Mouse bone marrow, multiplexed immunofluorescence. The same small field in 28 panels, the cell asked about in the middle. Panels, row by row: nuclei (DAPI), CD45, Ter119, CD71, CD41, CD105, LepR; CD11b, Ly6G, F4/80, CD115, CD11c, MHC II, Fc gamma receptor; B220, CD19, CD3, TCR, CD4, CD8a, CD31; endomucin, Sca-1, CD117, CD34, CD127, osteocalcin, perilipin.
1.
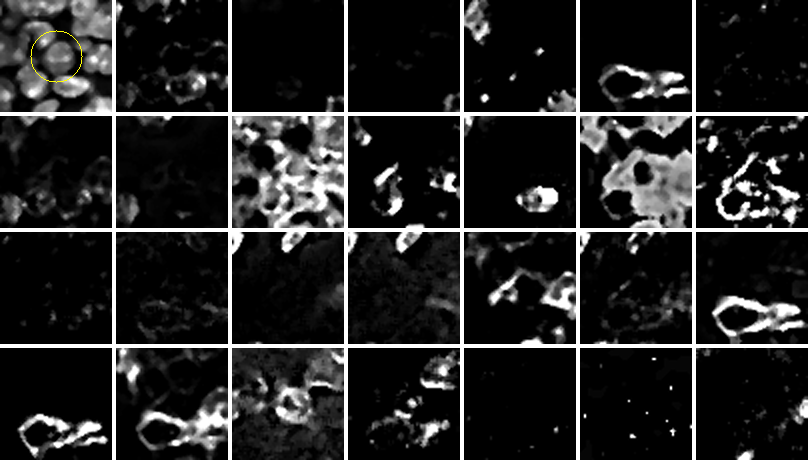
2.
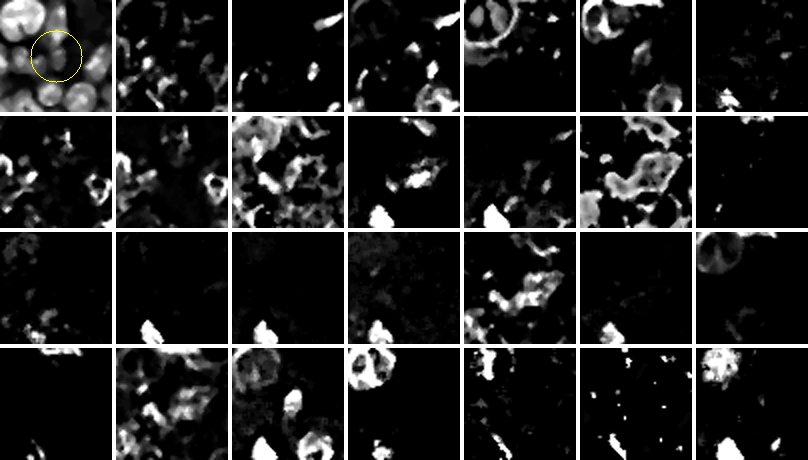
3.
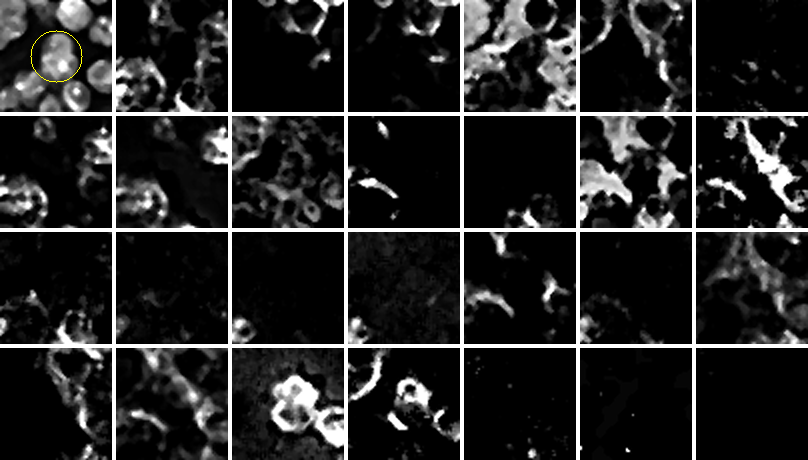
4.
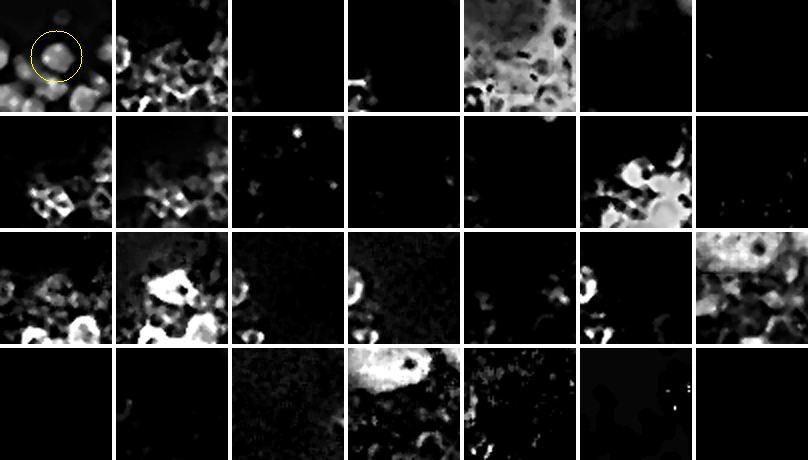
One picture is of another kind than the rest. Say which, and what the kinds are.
Picture 4 shows a B cell; the rest show KLS stem or progenitor cells.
